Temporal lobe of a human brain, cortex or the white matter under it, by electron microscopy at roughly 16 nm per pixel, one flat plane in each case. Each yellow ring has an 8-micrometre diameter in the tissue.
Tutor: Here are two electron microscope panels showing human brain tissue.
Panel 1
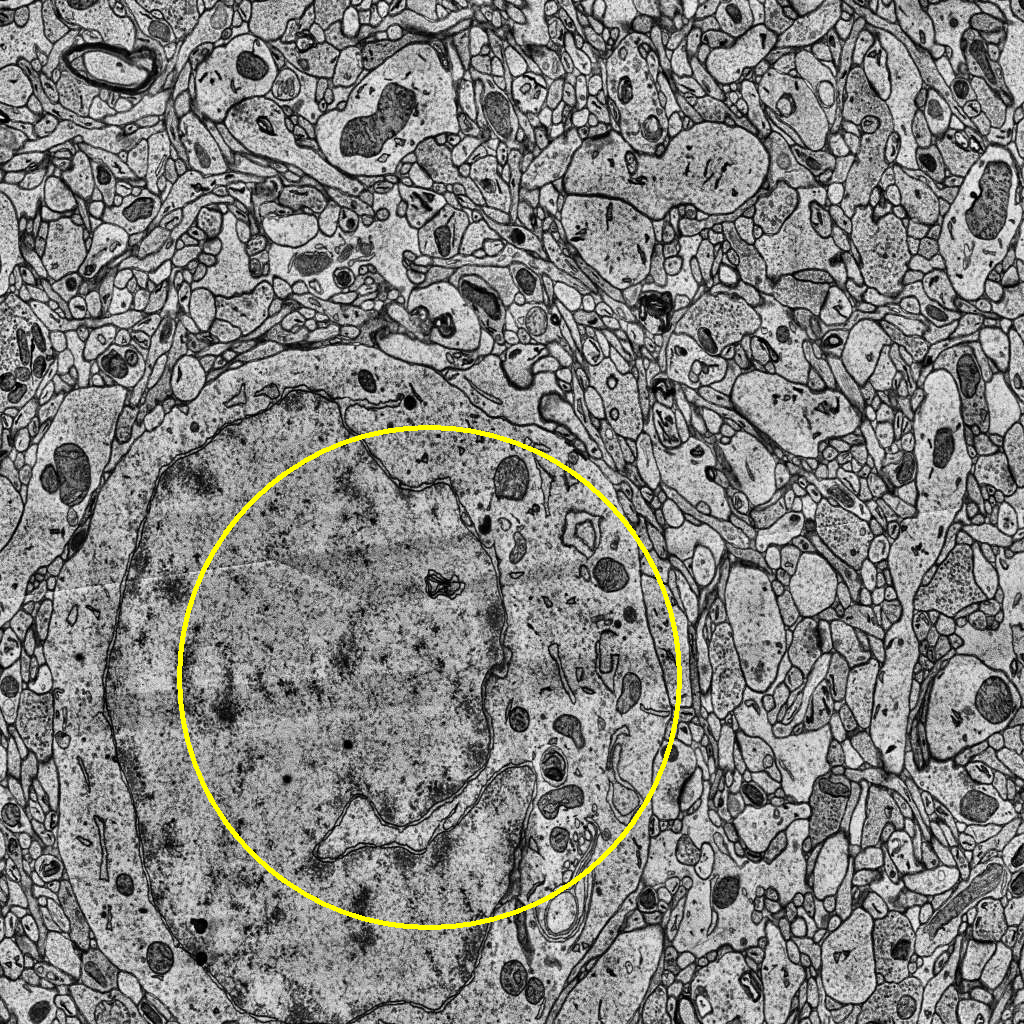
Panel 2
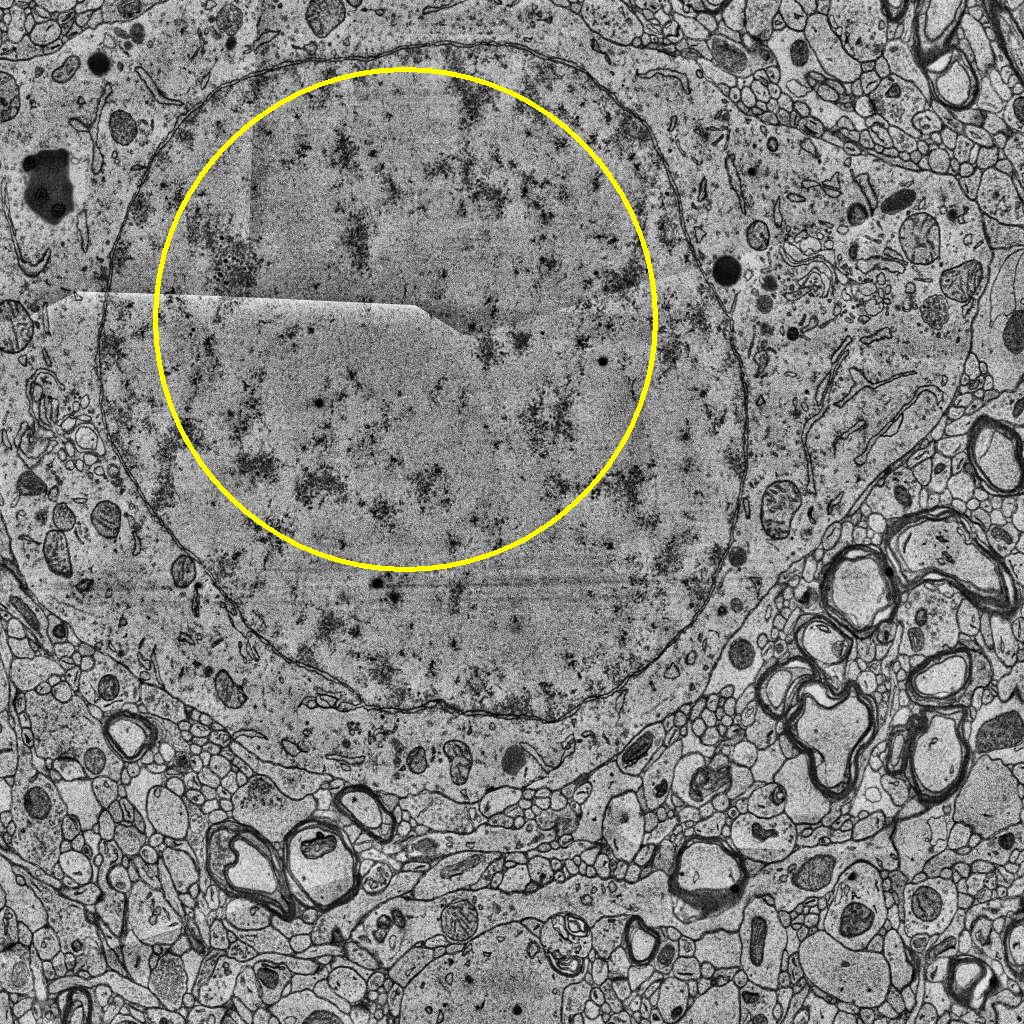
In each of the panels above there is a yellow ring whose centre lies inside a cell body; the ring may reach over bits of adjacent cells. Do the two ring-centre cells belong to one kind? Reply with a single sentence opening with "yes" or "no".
No, the two cells lying at the ring centres in the panels belong to two kinds.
